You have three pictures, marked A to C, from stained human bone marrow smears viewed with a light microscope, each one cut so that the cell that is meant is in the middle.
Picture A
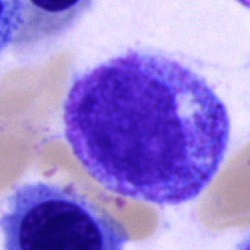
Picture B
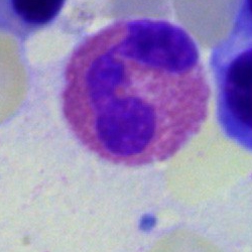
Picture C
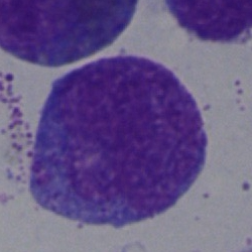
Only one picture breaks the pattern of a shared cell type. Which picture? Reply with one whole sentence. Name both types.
Picture B differs, because its cell is an eosinophil and the rest are promyelocytes.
